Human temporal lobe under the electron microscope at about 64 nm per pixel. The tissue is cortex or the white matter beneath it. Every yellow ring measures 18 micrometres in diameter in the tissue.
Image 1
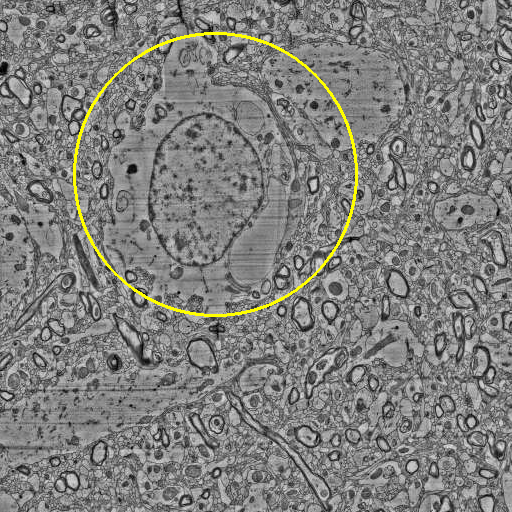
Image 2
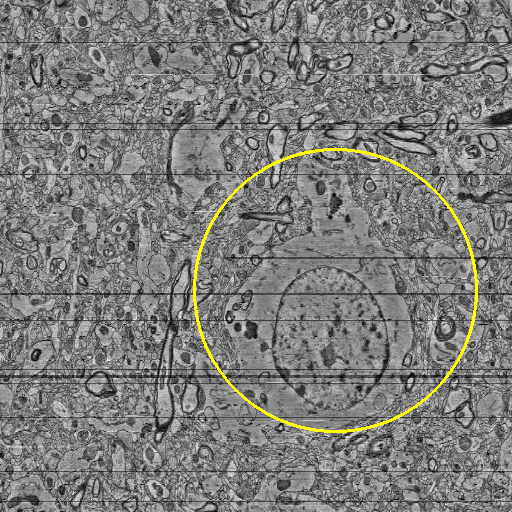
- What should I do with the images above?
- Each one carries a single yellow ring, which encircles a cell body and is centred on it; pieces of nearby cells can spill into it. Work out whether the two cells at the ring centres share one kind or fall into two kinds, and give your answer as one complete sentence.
The ring-centre cells of Image 1 and Image 2 share one kind.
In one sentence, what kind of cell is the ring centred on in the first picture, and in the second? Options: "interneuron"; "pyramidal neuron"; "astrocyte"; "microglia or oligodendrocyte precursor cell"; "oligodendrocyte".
Each of the two rings surrounds an astrocyte.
